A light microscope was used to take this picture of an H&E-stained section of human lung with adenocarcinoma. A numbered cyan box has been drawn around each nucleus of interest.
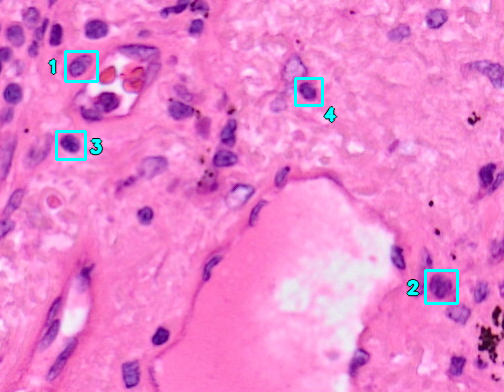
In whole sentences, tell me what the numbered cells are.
Cell 1 is a mast cell, cell 2 is a plasma cell, cell 3 is a lymphocyte and cell 4 is a mast cell.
